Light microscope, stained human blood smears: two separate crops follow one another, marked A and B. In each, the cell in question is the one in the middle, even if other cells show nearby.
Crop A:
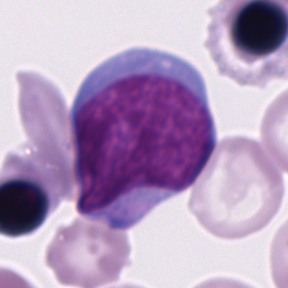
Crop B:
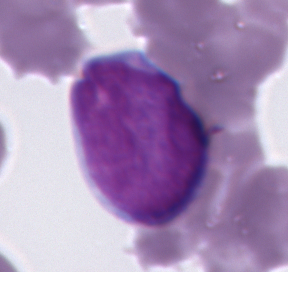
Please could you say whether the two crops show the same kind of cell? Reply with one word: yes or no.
yes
